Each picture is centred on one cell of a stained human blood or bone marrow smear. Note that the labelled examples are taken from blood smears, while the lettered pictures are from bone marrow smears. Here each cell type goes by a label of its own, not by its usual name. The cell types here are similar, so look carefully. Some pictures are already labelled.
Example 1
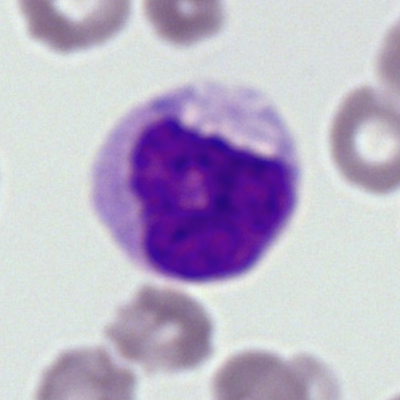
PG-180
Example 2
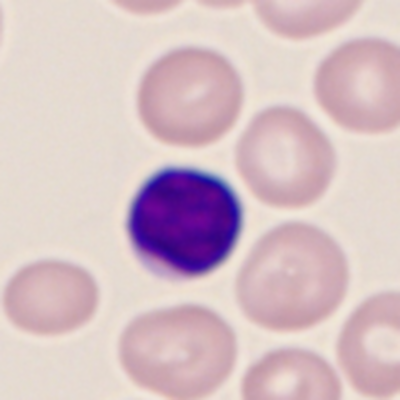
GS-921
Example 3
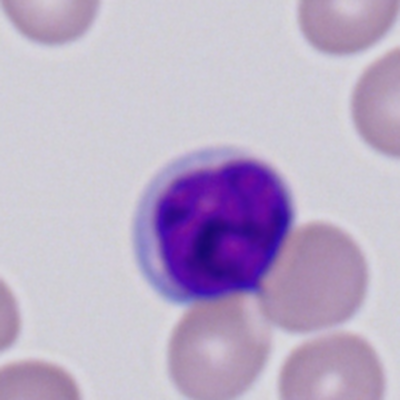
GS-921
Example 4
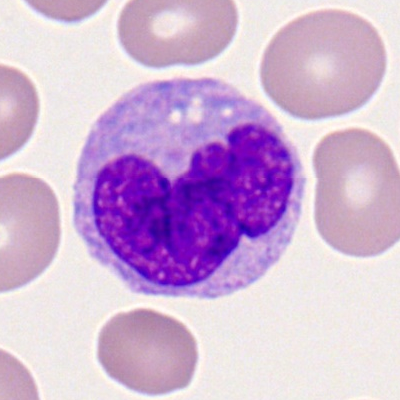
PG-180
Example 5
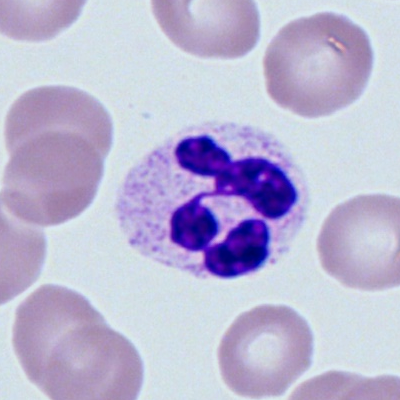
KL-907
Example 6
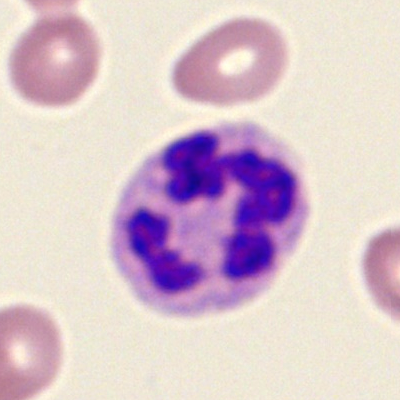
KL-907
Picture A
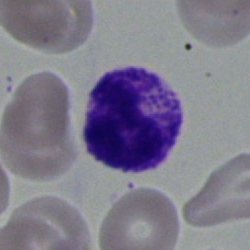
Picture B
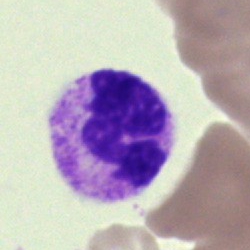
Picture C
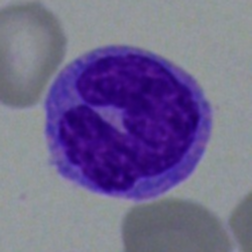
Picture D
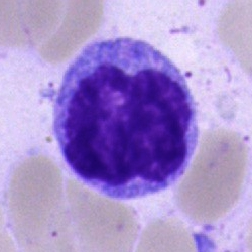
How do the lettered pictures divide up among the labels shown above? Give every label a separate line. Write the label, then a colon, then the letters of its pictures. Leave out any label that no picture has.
PG-180: C, D
KL-907: A, B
